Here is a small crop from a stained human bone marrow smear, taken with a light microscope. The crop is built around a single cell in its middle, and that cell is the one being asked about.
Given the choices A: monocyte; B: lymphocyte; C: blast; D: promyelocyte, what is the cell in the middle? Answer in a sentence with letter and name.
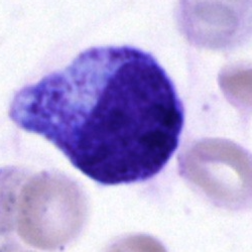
Option D, which names the central cell as a promyelocyte, is correct.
